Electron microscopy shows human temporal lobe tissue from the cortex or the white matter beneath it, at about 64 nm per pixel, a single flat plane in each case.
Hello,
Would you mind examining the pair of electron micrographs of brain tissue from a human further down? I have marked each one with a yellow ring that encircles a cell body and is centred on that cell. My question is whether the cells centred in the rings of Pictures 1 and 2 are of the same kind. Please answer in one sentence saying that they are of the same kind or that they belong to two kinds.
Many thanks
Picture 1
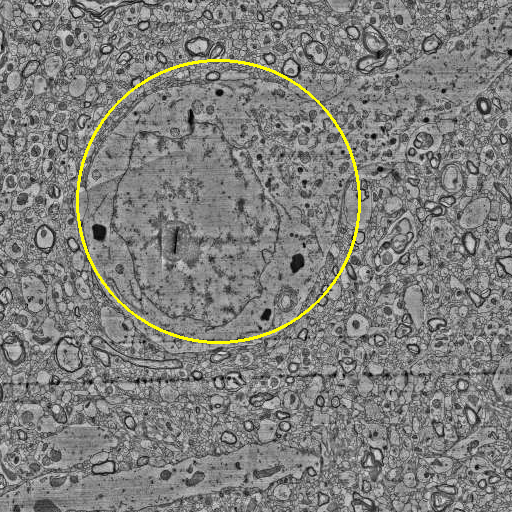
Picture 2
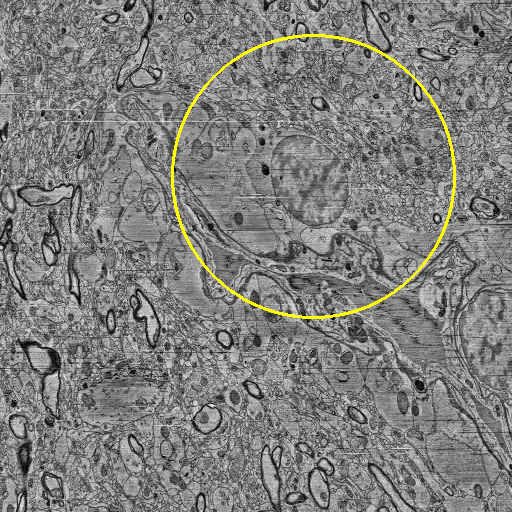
In Pictures 1 and 2, the cells at the heart of the rings belong to two kinds.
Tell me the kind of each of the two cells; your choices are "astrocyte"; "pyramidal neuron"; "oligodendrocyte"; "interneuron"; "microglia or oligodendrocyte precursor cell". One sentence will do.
The ringed cell is a pyramidal neuron in the first picture and an oligodendrocyte in the second picture.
